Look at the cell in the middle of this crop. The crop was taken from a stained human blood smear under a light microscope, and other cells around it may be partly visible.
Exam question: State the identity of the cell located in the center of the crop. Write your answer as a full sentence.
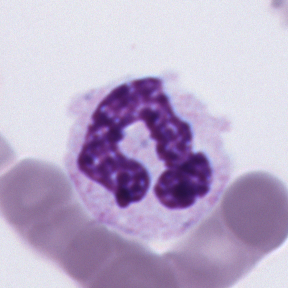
The middle position in this crop is taken by a segmented neutrophil.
